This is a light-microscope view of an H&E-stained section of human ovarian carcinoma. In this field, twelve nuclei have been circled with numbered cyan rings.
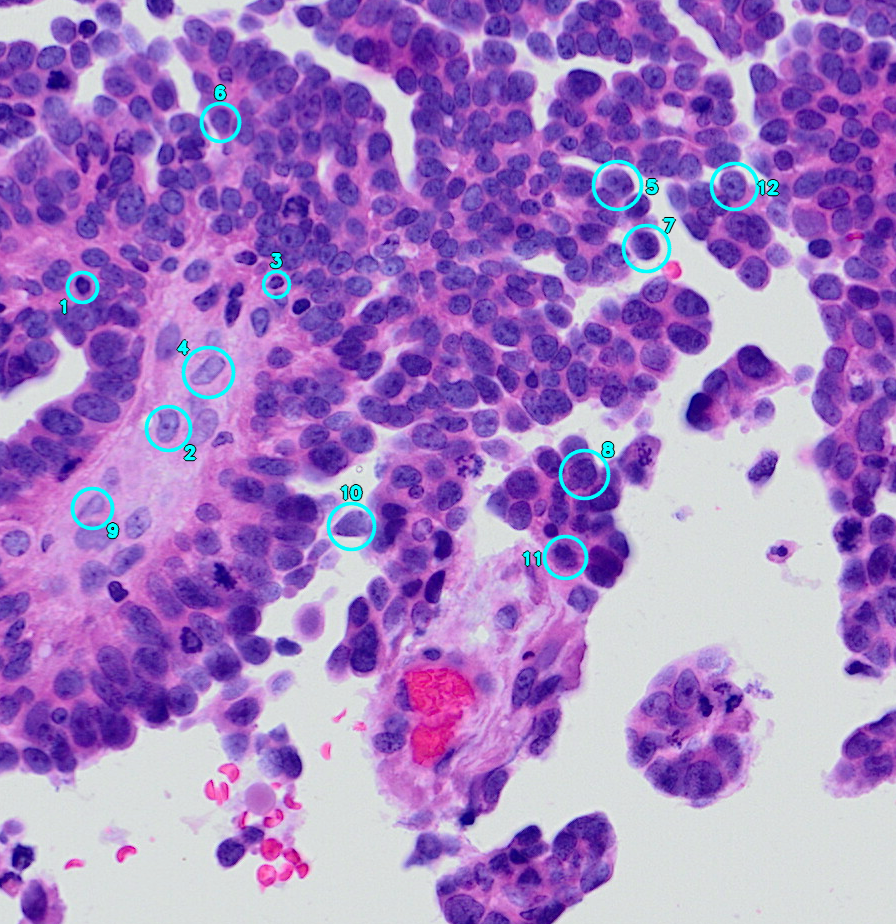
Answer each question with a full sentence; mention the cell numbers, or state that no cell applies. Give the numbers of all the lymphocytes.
Cells 1 and 3 are recognised here as lymphocytes.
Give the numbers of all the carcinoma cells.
In terms of cell type, cells 5, 6, 7, 8, 10, 11 and 12 are carcinoma cells.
